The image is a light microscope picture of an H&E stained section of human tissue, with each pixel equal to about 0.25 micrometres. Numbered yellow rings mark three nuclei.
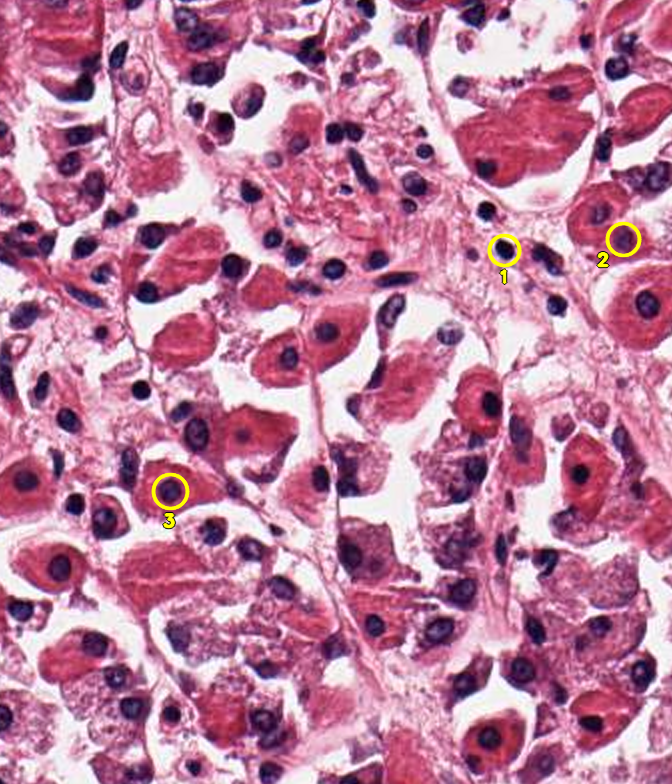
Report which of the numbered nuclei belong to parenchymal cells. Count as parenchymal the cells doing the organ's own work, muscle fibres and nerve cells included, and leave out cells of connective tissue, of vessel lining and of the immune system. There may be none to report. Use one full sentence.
Nuclei carrying the numbers 2 and 3 are nuclei of parenchymal cells.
